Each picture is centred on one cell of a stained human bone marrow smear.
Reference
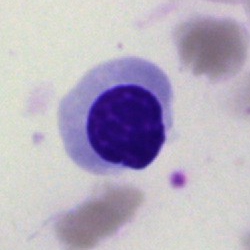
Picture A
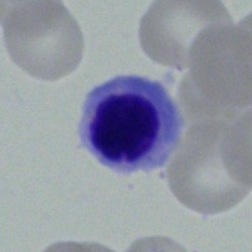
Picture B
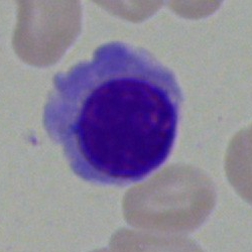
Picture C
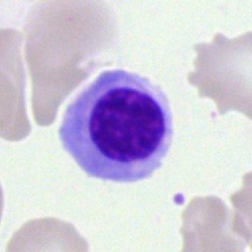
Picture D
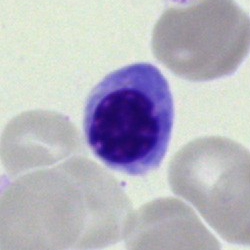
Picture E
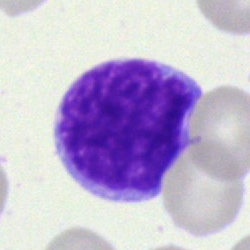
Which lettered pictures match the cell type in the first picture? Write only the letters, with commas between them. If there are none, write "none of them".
A, B, C, D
